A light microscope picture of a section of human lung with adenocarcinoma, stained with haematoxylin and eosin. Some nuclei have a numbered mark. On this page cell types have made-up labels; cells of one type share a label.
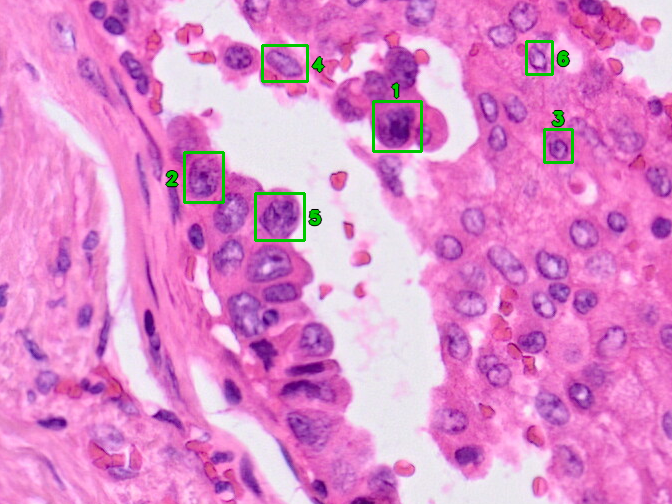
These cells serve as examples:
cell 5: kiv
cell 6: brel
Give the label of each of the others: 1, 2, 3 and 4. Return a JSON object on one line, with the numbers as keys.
{"1": "kiv", "2": "kiv", "3": "brel", "4": "brel"}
